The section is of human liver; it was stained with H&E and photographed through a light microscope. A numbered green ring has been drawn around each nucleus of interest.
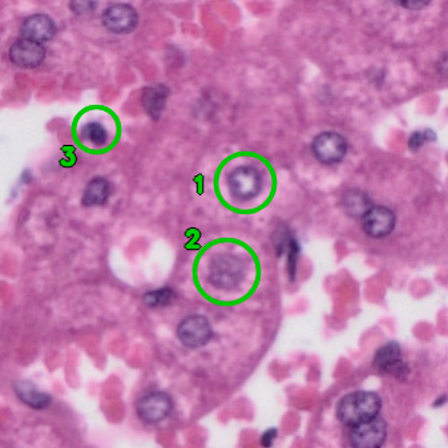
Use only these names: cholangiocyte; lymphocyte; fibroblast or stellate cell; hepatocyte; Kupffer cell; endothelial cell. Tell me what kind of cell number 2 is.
hepatocyte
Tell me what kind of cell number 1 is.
hepatocyte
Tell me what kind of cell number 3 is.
lymphocyte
